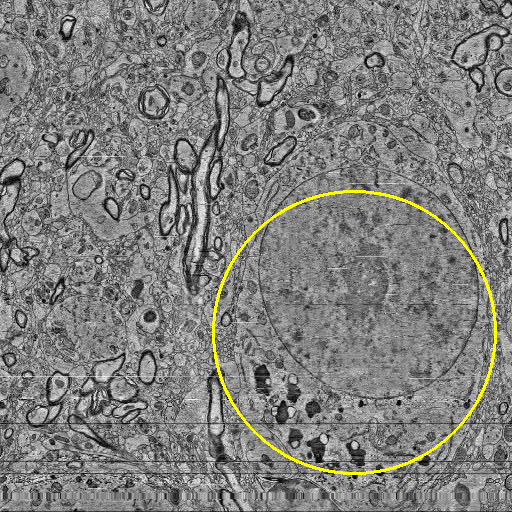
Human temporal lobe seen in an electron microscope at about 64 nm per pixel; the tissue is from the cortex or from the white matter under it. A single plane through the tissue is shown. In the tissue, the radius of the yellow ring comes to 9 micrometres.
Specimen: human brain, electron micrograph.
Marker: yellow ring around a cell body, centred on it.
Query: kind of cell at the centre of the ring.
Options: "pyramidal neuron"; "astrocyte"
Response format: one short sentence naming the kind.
This cell body belongs to a pyramidal neuron.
